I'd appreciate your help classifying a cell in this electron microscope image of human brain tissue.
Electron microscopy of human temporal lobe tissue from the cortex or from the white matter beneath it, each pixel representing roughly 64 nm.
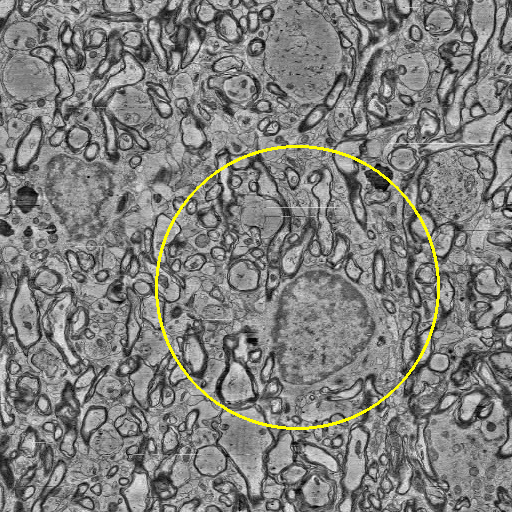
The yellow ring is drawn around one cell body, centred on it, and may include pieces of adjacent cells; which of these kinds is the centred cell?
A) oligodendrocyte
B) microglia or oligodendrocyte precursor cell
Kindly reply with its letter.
A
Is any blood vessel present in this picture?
No, no blood vessel shows in the picture.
